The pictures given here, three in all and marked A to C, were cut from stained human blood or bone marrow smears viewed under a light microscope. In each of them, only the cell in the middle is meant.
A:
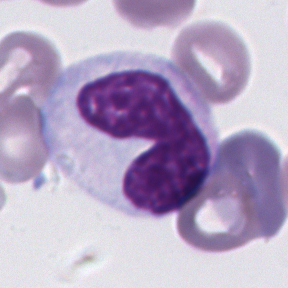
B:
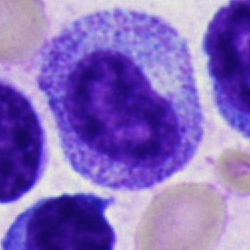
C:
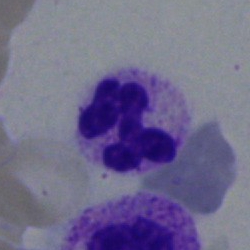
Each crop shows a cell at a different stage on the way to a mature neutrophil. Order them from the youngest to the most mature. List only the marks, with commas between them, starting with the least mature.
B, A, C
